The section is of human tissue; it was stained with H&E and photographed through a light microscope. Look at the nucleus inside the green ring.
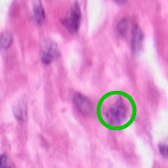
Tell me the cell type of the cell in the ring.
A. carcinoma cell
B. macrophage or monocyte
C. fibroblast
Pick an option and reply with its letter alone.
C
